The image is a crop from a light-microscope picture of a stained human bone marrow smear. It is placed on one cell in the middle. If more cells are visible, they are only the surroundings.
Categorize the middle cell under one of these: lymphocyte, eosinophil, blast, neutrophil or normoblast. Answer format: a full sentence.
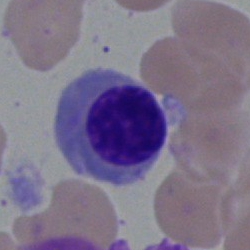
This crop has a normoblast at its centre.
